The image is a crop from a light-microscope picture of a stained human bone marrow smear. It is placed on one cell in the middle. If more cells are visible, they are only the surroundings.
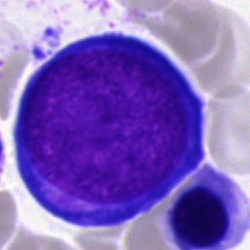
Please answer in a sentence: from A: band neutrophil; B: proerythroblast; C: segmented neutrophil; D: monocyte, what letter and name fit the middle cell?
The cell in the middle is a proerythroblast, and that makes option B correct.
